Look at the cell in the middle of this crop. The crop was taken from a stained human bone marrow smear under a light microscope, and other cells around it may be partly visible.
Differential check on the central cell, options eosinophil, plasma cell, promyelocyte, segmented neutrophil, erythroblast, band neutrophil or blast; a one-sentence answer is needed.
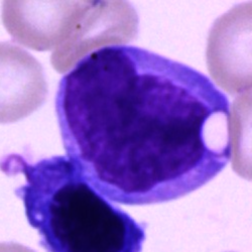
The cell of interest, in the center, is a blast.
